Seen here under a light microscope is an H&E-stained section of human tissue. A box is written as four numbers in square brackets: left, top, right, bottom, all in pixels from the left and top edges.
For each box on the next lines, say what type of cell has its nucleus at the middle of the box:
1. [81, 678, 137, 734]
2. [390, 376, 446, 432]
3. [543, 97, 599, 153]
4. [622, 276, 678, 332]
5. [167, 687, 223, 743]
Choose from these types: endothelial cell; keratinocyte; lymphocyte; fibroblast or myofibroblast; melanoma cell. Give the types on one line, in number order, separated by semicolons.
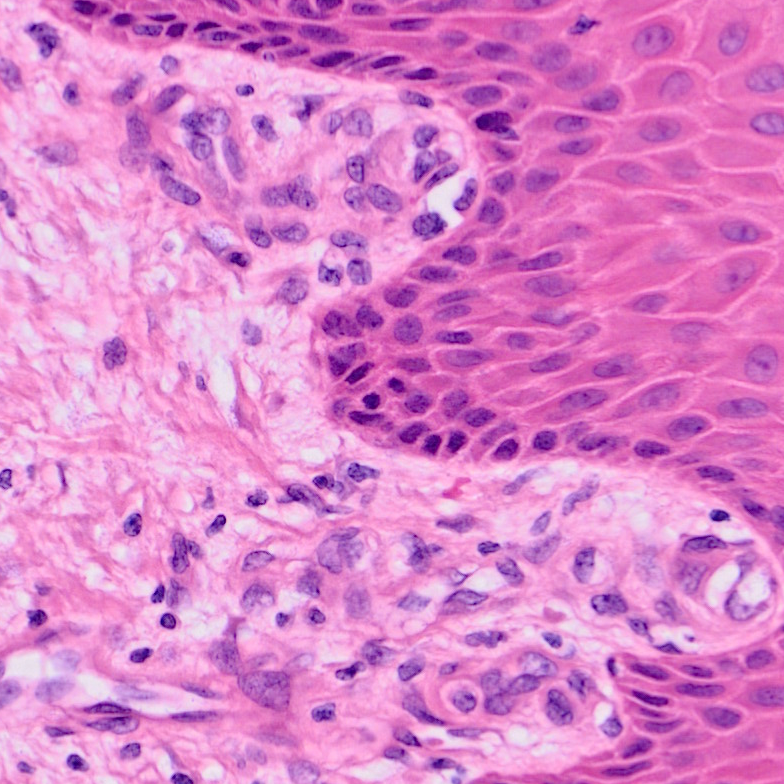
endothelial cell; keratinocyte; keratinocyte; keratinocyte; endothelial cell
